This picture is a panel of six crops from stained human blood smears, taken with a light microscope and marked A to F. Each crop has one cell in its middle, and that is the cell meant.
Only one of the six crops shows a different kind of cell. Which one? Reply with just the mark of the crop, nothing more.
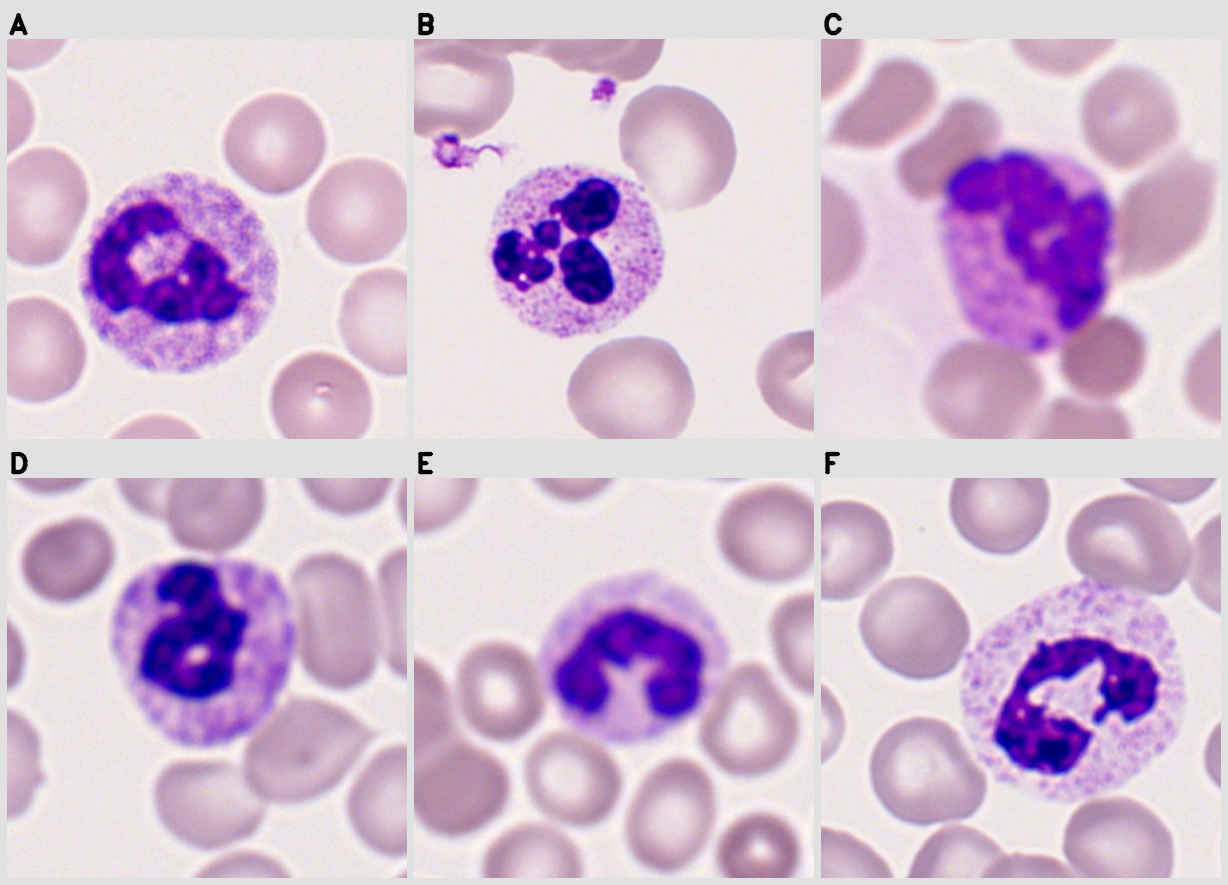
C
